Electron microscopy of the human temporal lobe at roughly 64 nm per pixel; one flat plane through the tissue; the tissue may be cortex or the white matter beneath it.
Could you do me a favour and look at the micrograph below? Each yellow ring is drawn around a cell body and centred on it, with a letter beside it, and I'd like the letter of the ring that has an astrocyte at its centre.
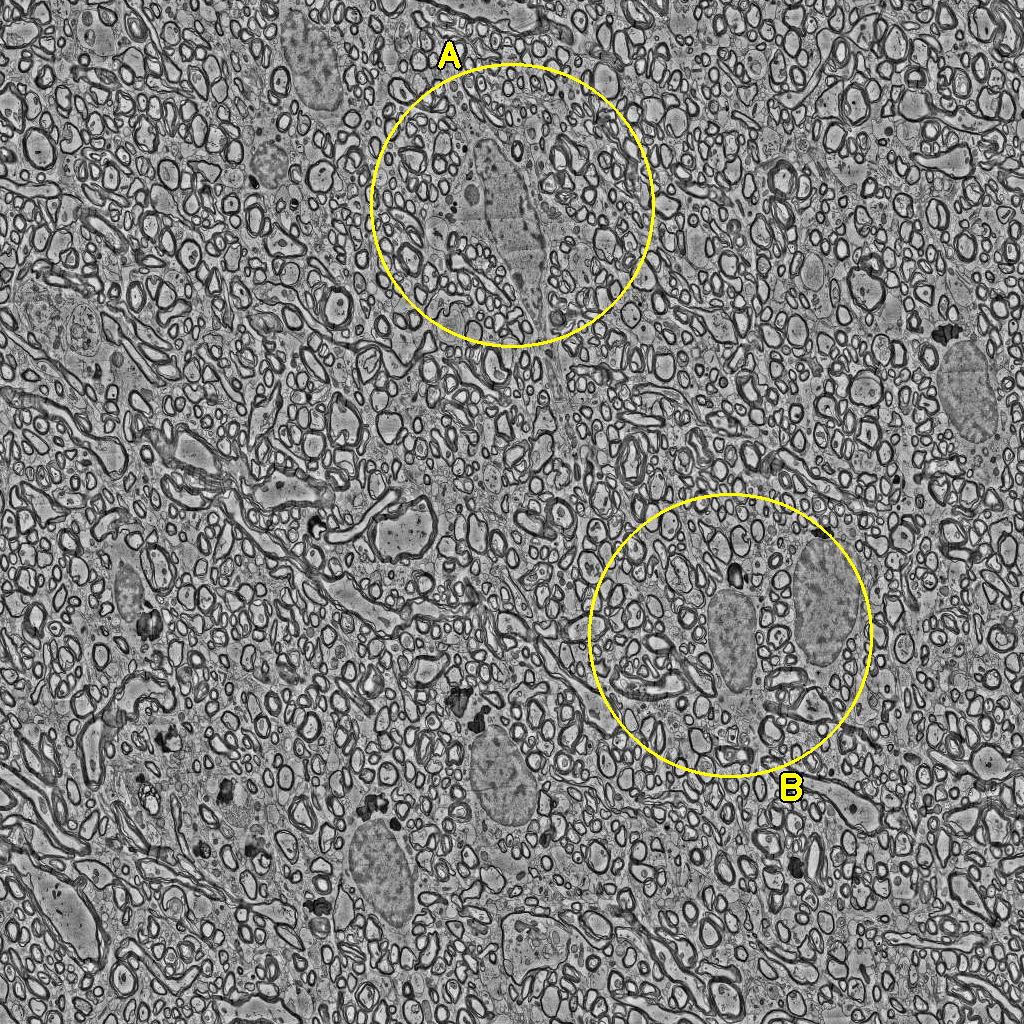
A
